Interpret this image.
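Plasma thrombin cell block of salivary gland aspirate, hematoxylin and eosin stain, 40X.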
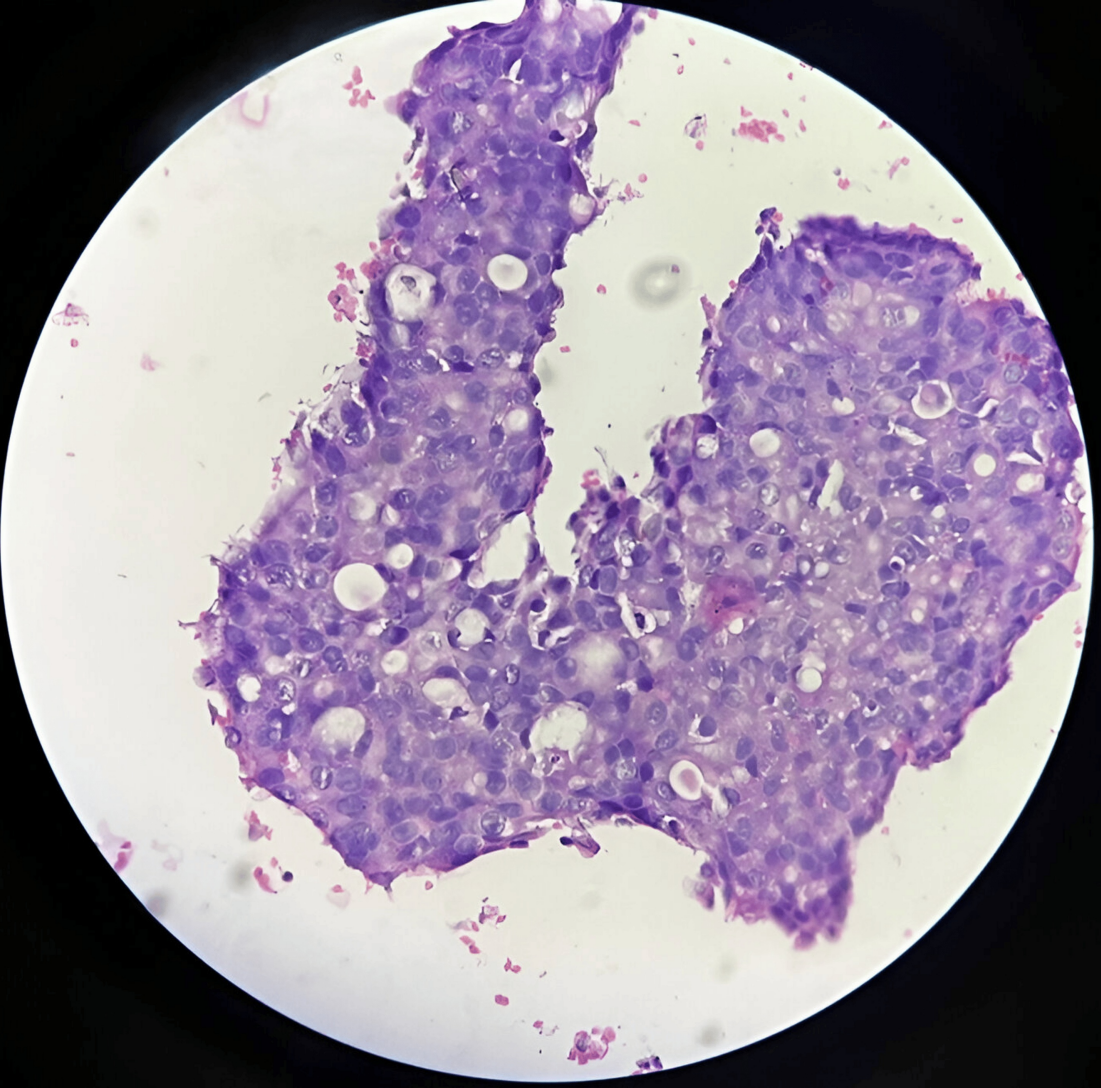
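The cells have round to oval nuclei with fine chromatin, and some have visible nucleoli. Their cytoplasm stains pale pink to purple. Round, clear, sharply outlined vacuole-like spaces are scattered through the fragment, and some hold pale or wispy material. A few scattered red blood cells lie in the pale background around the fragment.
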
